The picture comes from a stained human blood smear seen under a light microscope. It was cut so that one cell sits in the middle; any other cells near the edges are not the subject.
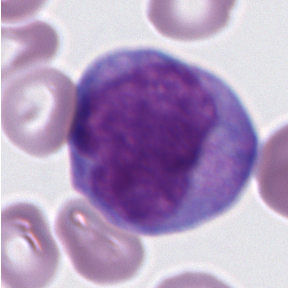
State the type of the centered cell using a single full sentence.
In the center of this field lies an atypical promyelocyte.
